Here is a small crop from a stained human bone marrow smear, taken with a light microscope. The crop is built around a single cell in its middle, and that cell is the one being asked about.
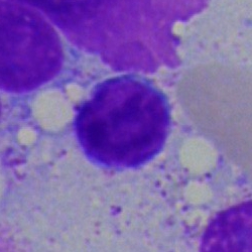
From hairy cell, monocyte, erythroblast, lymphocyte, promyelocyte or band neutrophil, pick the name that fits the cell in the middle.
lymphocyte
